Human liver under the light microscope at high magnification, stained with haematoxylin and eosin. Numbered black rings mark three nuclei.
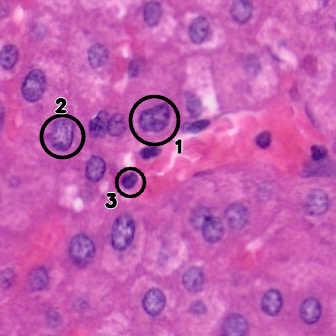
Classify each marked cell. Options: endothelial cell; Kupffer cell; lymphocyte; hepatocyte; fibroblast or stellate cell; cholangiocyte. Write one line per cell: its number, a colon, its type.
1: hepatocyte
2: hepatocyte
3: lymphocyte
